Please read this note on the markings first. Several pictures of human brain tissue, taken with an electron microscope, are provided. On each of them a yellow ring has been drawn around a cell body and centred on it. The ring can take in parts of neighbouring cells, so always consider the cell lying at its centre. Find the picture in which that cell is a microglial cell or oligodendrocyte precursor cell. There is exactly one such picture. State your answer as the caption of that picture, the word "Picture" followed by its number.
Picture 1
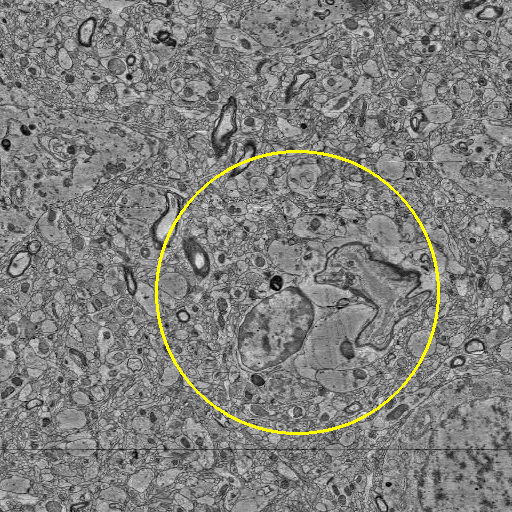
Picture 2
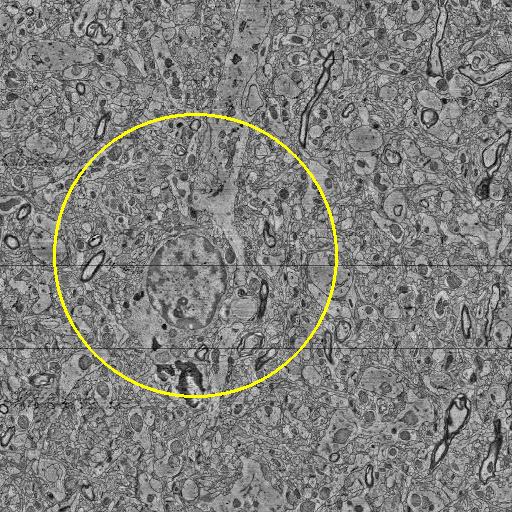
Picture 1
